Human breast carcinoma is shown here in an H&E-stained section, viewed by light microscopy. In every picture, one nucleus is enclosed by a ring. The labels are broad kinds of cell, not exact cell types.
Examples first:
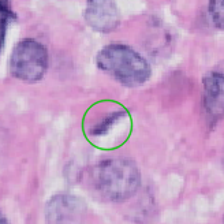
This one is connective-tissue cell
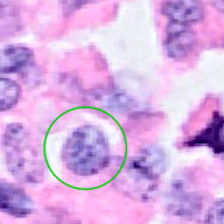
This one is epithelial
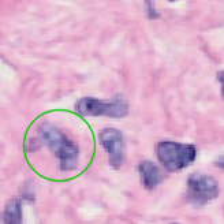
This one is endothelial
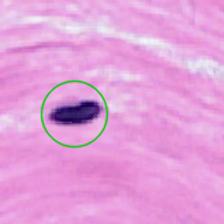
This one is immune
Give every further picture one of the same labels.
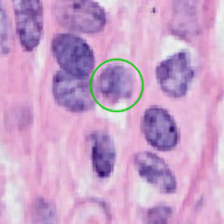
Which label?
epithelial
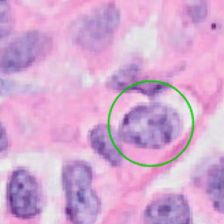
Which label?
epithelial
